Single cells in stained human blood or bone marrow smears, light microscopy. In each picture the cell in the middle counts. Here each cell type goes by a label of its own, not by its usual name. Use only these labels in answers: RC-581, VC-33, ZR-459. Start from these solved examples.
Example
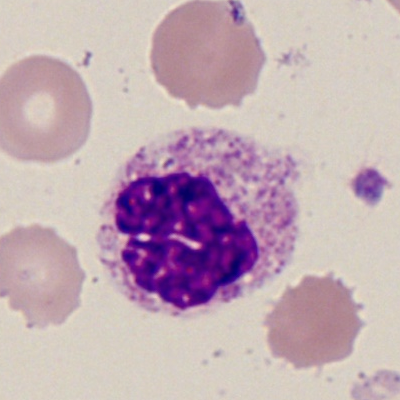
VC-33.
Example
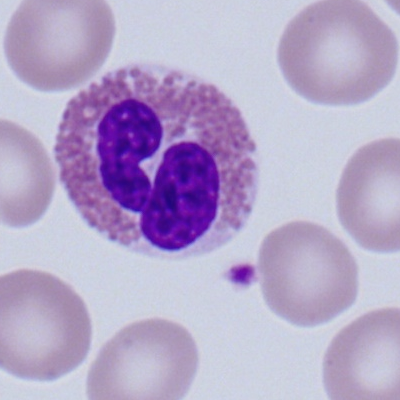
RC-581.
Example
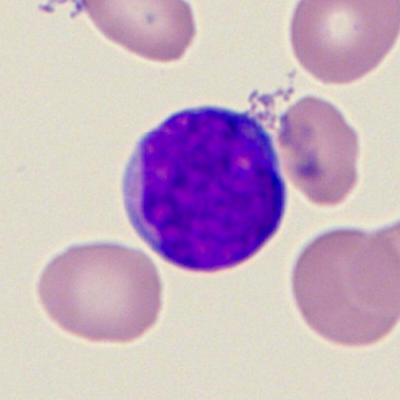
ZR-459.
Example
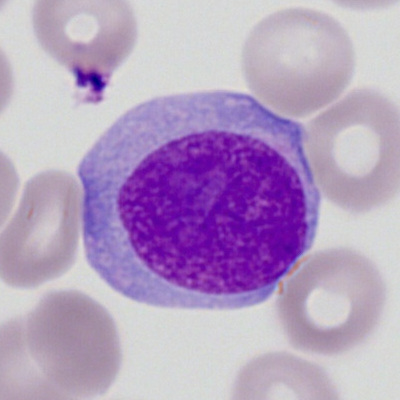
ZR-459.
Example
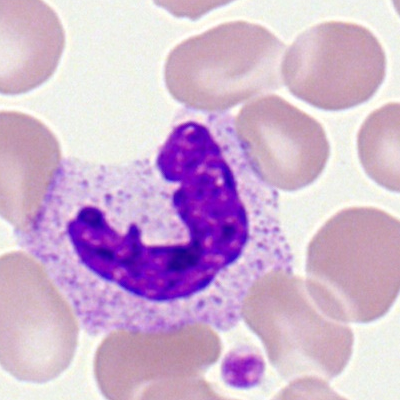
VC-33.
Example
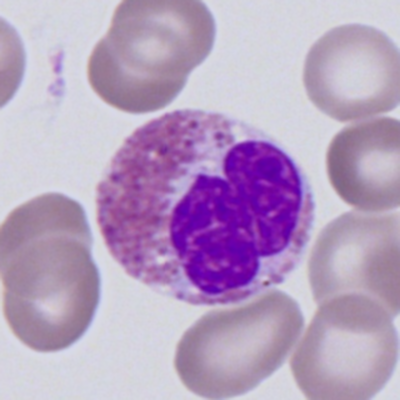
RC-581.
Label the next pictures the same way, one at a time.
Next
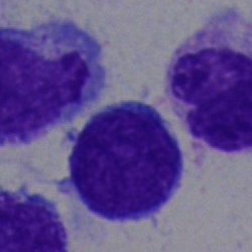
ZR-459.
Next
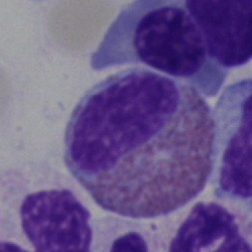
RC-581.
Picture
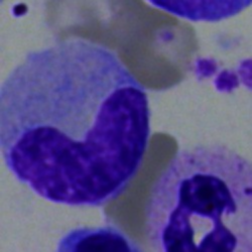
VC-33.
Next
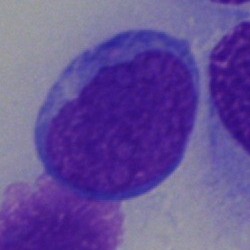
ZR-459.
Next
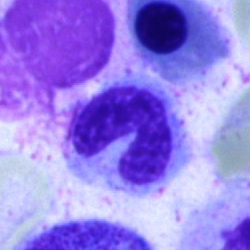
VC-33.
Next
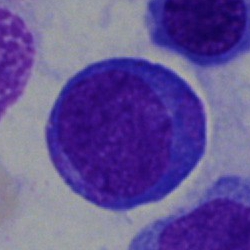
ZR-459.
